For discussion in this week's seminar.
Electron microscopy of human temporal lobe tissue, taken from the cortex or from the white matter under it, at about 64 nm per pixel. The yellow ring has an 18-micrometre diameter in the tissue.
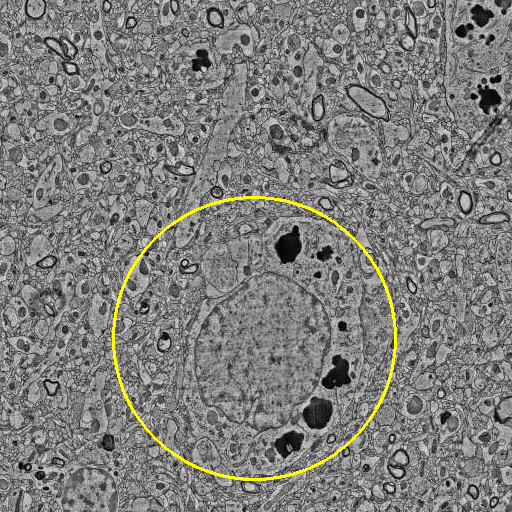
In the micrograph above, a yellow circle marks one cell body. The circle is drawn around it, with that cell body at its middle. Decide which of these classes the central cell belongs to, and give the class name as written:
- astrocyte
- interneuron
interneuron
